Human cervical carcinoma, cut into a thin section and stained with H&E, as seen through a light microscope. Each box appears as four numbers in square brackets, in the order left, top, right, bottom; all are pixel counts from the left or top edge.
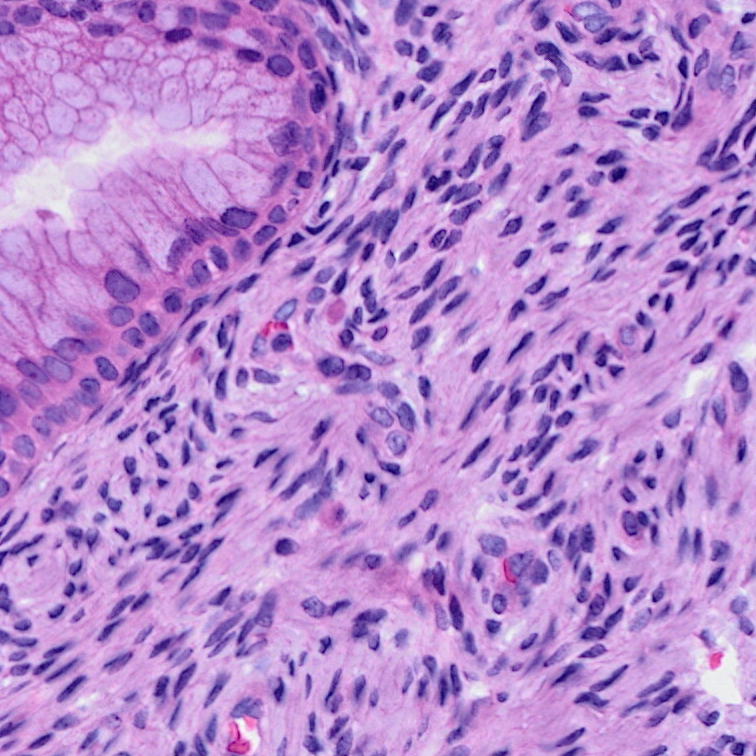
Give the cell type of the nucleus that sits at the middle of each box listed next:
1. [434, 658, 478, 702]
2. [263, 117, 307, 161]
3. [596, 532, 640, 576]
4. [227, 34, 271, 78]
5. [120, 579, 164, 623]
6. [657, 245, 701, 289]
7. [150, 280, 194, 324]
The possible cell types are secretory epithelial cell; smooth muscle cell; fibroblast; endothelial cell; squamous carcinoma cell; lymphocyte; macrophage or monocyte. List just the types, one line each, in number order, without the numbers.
fibroblast
secretory epithelial cell
fibroblast
secretory epithelial cell
fibroblast
fibroblast
secretory epithelial cell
